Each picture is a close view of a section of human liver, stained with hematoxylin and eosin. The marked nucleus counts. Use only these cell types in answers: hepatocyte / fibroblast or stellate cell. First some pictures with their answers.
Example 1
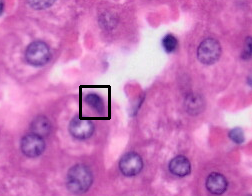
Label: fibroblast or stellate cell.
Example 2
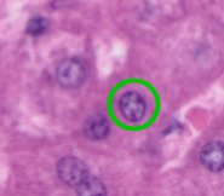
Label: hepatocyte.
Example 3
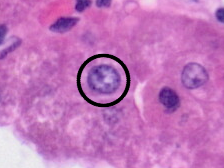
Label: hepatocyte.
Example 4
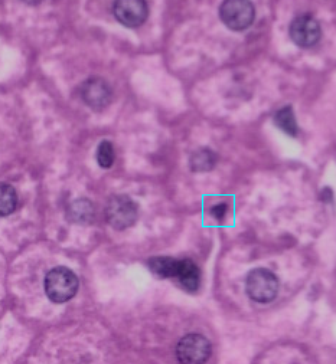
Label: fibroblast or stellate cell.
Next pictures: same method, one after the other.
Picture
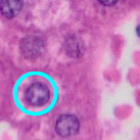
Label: hepatocyte.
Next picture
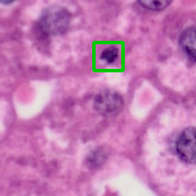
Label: fibroblast or stellate cell.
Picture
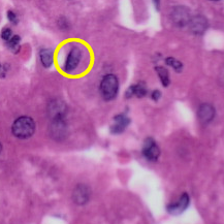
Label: fibroblast or stellate cell.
